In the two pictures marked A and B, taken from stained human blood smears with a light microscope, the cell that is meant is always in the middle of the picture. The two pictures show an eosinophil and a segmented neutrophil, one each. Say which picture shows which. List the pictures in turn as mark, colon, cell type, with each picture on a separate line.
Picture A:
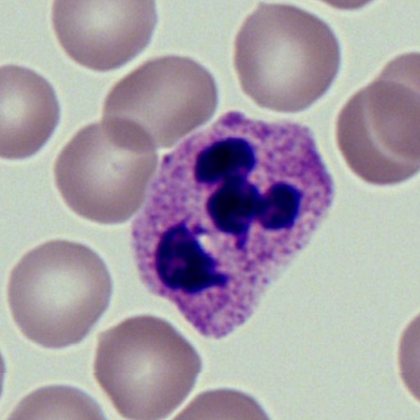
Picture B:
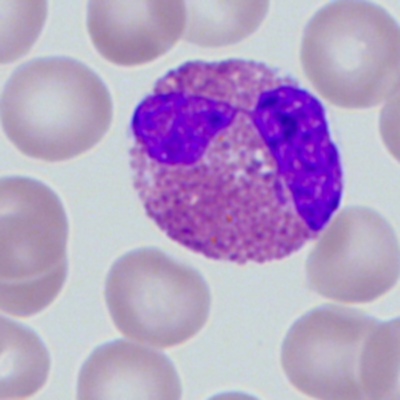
A: segmented neutrophil
B: eosinophil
